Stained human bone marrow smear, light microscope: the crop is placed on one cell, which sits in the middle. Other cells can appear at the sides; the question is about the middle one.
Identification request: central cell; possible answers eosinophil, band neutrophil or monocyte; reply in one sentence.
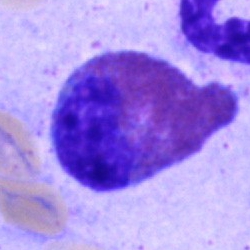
The cell featured at the centre of this crop is an eosinophil.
